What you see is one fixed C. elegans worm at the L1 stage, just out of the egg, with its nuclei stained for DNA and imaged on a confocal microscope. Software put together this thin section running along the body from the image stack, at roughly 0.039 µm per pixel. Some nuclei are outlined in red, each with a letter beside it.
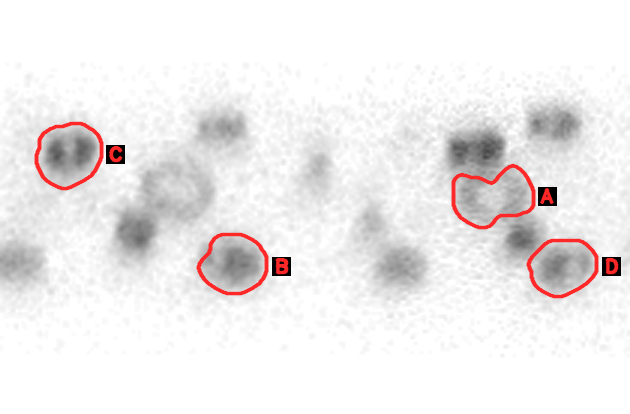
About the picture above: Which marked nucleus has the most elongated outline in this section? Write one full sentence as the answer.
Nucleus A is the longest relative to its width.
